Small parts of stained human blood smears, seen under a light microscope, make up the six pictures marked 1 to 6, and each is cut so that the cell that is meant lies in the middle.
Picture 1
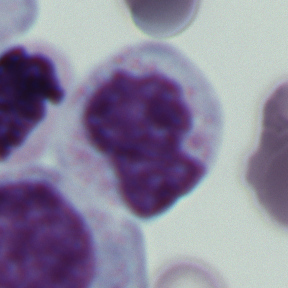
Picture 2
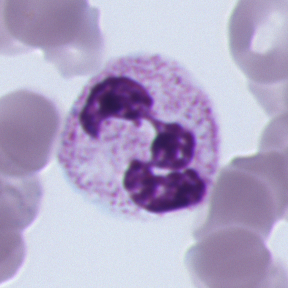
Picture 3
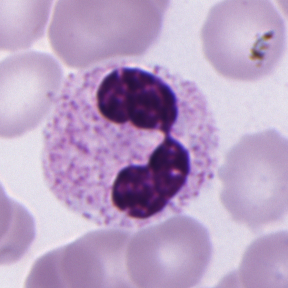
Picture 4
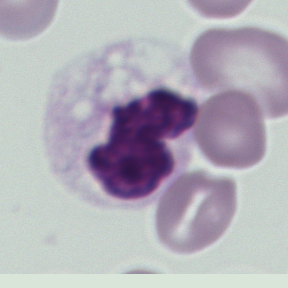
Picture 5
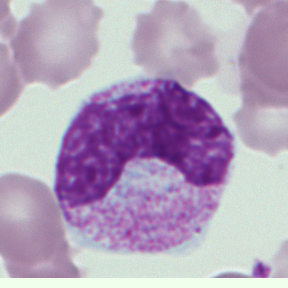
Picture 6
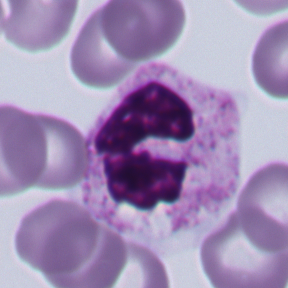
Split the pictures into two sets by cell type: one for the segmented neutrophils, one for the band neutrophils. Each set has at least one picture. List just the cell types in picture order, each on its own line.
band neutrophil
segmented neutrophil
segmented neutrophil
segmented neutrophil
band neutrophil
segmented neutrophil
